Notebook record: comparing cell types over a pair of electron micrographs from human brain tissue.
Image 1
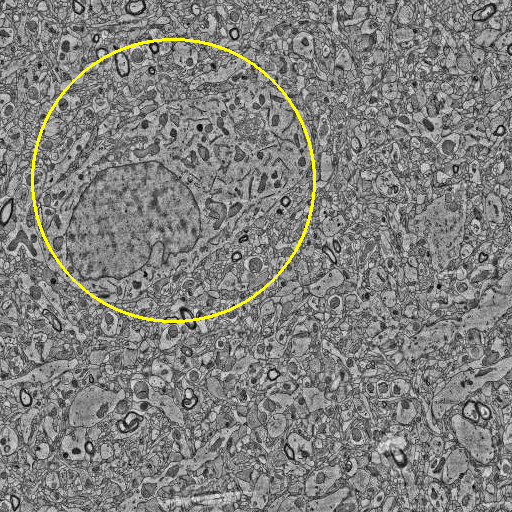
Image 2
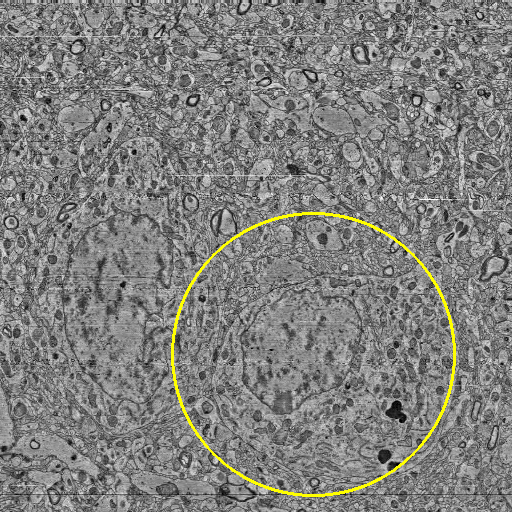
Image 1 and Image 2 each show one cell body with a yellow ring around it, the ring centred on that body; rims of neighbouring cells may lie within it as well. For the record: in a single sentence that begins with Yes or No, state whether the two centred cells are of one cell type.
Yes, one cell type is shared by the centred cells of Image 1 and Image 2.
